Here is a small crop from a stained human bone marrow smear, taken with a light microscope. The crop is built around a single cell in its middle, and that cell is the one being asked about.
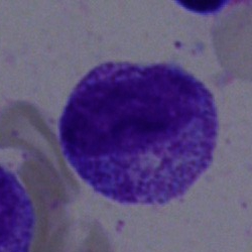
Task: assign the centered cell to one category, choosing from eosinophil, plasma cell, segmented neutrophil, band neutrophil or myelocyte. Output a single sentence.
The cell in the middle of this crop is a myelocyte.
